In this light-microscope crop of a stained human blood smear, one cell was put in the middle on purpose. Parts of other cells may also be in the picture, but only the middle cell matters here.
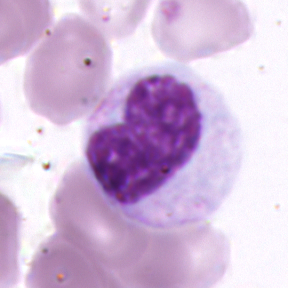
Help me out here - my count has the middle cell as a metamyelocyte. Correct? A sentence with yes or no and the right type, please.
Yes, it is a metamyelocyte that lies in the middle.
